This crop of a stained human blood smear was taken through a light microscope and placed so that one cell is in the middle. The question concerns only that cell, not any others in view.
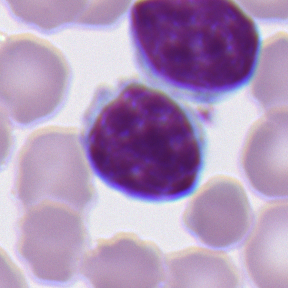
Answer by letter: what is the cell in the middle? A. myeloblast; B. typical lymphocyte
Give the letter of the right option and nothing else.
B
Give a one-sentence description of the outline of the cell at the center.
The edge of the cell is broken up by ragged stretches or by outward projections.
